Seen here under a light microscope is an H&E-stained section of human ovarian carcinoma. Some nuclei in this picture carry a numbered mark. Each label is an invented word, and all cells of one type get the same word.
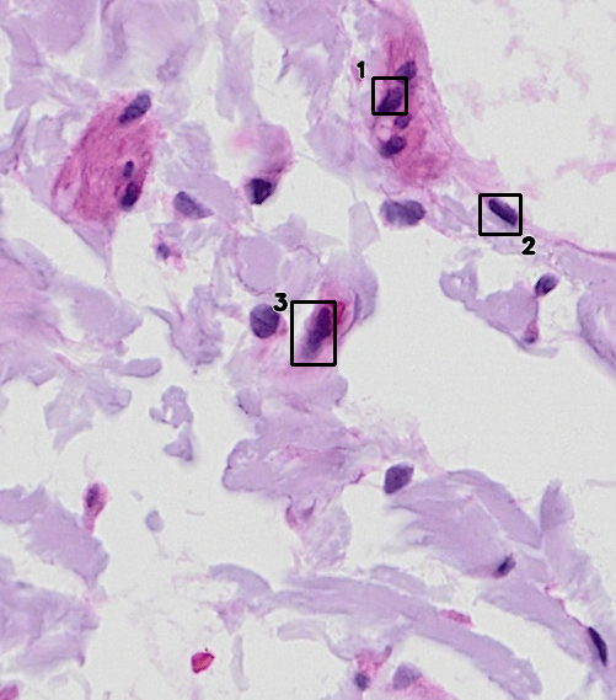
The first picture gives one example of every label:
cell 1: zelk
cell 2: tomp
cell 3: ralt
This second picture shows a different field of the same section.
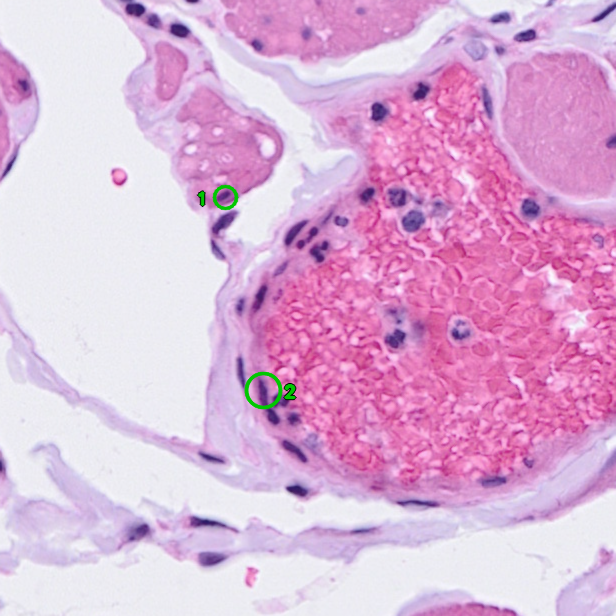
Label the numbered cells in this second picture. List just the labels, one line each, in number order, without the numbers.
zelk
ralt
